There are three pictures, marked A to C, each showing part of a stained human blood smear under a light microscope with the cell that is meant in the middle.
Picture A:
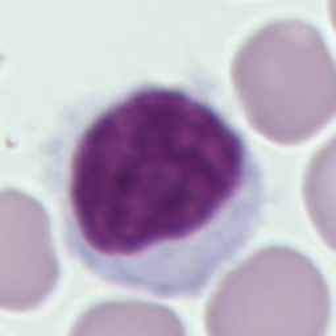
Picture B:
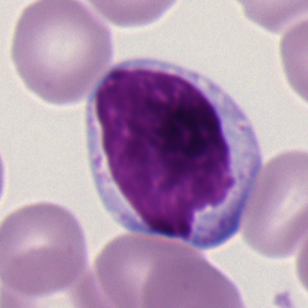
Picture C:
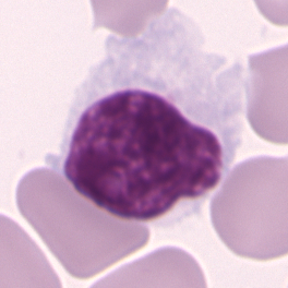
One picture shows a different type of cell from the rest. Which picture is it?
B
